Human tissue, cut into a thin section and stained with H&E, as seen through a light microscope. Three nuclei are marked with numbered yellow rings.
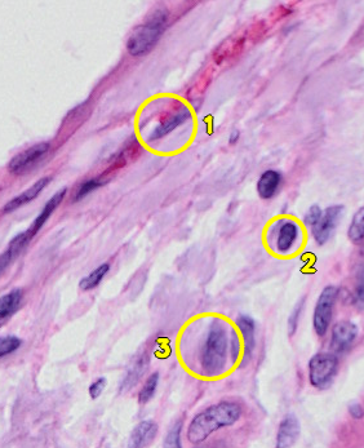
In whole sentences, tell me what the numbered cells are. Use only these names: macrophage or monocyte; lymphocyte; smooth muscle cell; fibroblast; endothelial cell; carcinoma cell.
Cell 1 is an endothelial cell, cell 2 is a lymphocyte and cell 3 is a fibroblast.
